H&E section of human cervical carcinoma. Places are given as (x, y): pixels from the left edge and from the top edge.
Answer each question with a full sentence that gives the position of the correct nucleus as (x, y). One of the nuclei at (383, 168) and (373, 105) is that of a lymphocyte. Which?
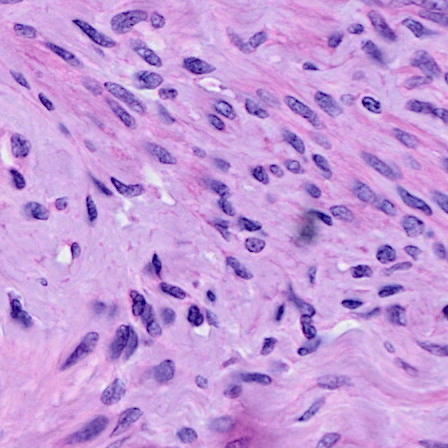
Of these two nuclei, only the one at (373, 105) belongs to a lymphocyte.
